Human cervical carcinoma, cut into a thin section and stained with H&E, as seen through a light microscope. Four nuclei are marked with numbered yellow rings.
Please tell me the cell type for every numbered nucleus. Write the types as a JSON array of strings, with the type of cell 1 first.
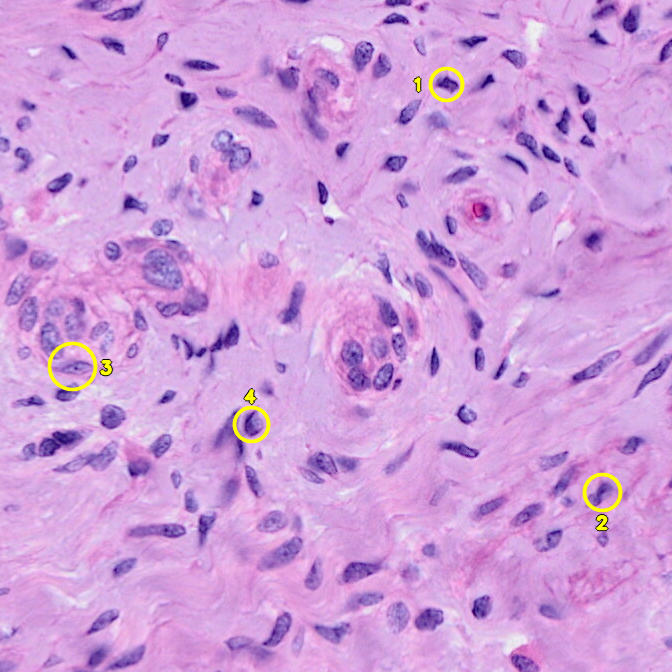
["fibroblast", "smooth muscle cell", "smooth muscle cell", "fibroblast"]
